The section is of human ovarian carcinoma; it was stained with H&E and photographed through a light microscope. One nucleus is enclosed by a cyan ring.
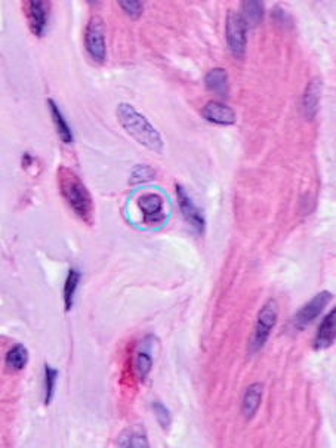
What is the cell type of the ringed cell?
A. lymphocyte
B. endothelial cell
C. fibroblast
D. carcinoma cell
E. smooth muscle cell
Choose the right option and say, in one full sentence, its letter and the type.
Option B describes the ringed cell accurately as an endothelial cell.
